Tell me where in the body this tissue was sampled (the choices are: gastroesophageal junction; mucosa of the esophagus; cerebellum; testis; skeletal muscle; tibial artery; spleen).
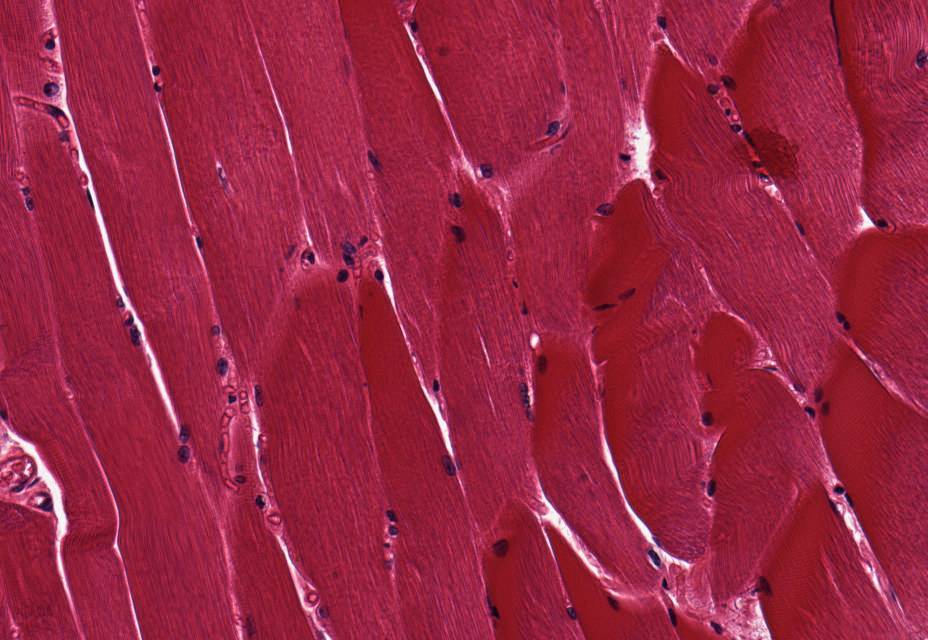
skeletal muscle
